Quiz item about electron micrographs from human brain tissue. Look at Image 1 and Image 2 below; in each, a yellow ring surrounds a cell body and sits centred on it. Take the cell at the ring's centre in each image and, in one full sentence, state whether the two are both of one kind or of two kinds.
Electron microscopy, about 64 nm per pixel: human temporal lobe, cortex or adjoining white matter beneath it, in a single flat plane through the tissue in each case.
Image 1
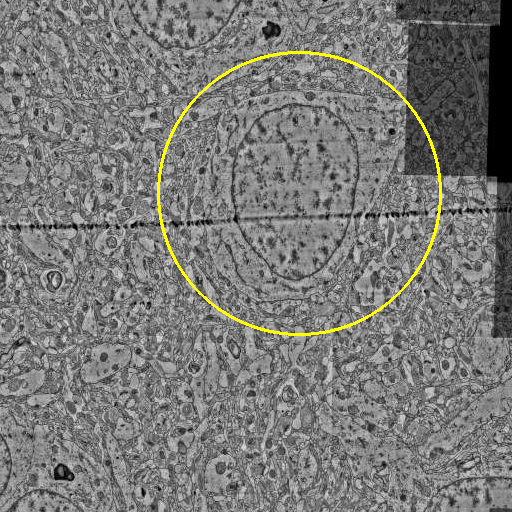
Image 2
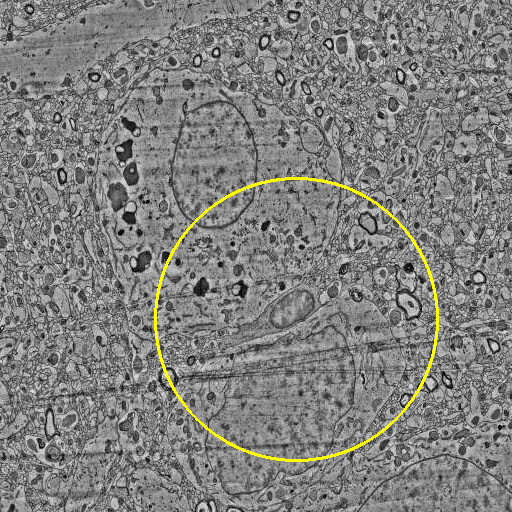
In Image 1 and Image 2, the cells at the ring centres are of two kinds.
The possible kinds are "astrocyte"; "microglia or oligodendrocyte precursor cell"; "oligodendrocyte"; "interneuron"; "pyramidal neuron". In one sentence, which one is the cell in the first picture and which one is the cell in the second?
The cell ringed in the second picture is an oligodendrocyte, whereas the one ringed in the first is a pyramidal neuron.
